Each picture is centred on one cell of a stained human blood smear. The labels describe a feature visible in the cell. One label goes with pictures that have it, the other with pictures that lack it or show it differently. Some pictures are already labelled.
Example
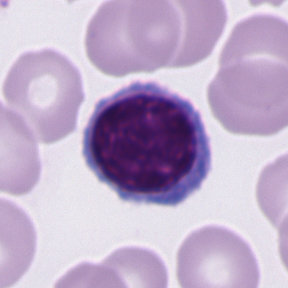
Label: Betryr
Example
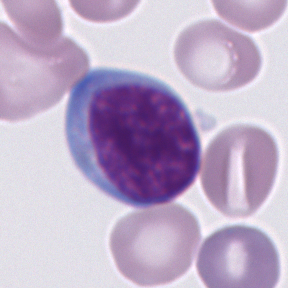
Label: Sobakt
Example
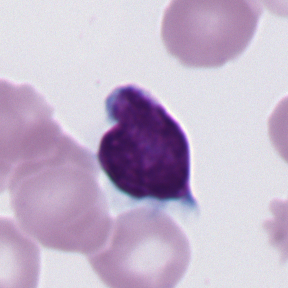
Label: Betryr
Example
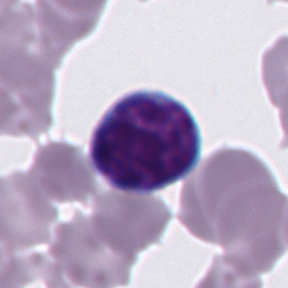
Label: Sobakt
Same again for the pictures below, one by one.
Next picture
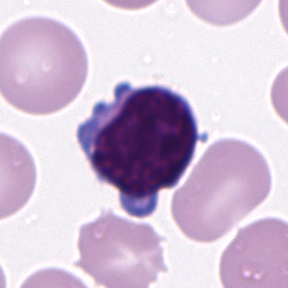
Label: Betryr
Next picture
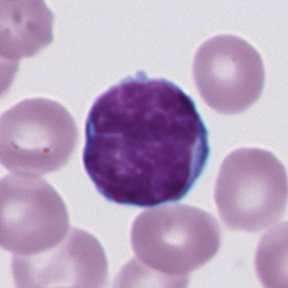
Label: Betryr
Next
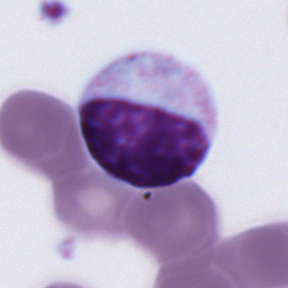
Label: Sobakt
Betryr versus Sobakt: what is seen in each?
Betryr, ragged outline or projections; Sobakt, smooth outline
